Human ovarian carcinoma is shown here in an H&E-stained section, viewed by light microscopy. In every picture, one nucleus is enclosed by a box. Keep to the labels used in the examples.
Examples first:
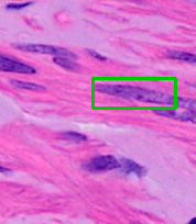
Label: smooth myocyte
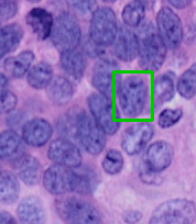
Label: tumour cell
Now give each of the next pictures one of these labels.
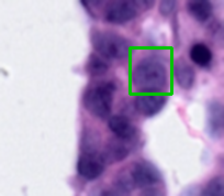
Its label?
tumour cell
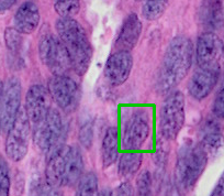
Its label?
tumour cell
